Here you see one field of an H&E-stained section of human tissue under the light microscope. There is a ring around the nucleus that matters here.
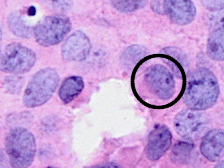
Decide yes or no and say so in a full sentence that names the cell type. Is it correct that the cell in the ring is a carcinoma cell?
Yes, it is the case that the cell in the ring is a carcinoma cell.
